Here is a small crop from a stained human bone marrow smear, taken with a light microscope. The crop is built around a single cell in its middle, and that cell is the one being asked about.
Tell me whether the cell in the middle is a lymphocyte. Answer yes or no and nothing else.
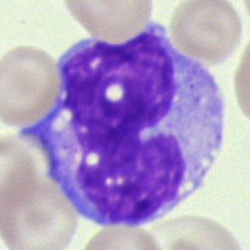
no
